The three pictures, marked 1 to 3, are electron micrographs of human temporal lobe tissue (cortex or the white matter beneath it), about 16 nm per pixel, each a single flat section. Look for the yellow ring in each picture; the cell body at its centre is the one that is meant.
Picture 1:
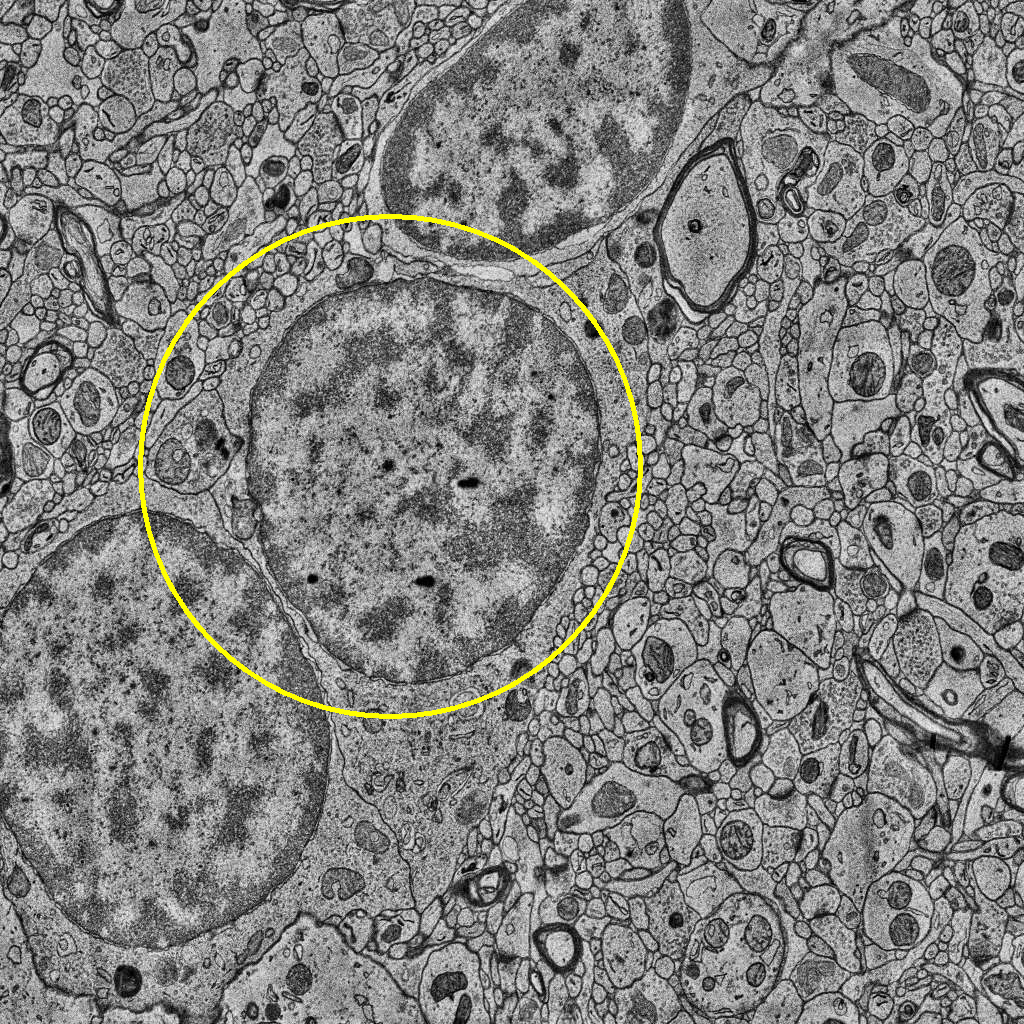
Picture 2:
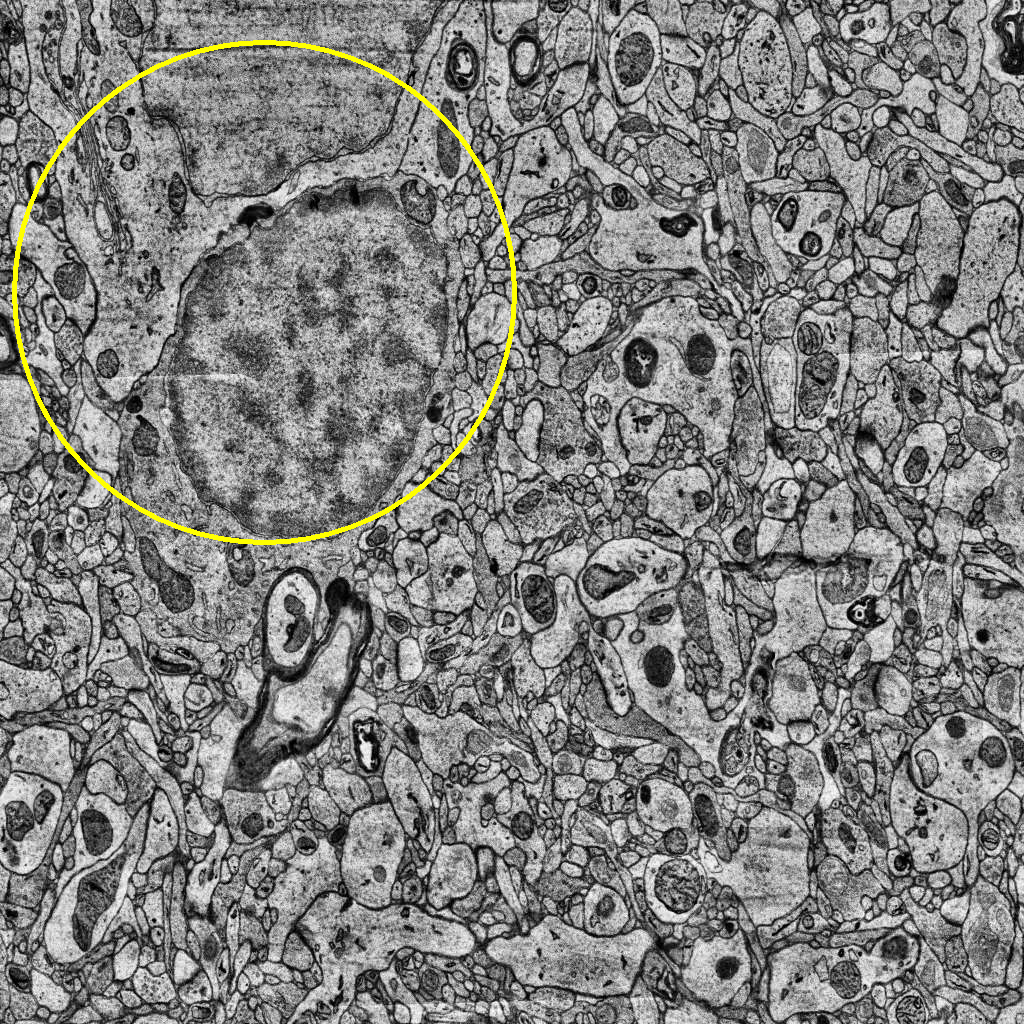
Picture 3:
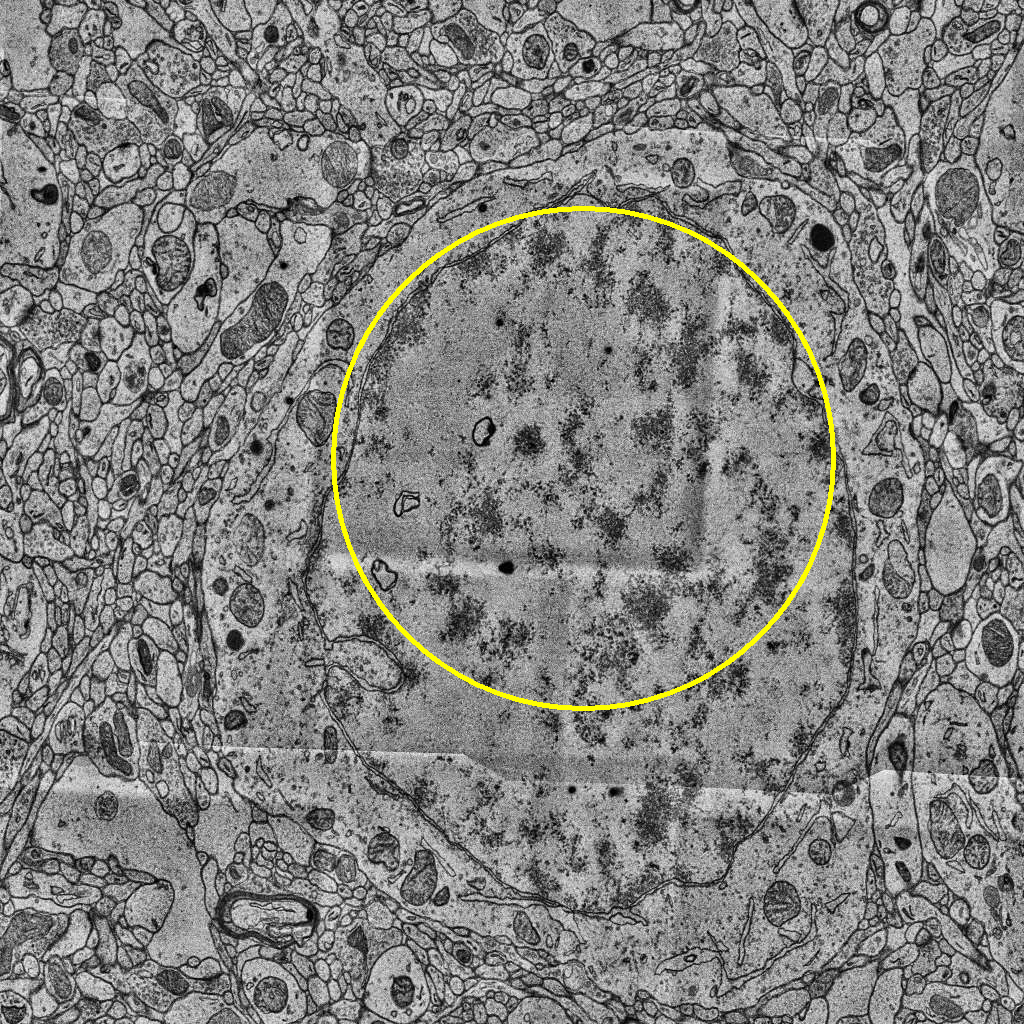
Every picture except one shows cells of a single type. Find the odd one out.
The others show oligodendrocytes, but picture 3 shows an interneuron.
